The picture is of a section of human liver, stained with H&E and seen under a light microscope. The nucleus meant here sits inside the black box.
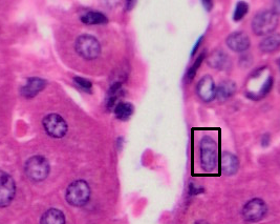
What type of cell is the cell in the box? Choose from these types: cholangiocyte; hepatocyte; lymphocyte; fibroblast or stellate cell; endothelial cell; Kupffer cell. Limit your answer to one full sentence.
On this particular slide, the cell in the box is a cholangiocyte.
